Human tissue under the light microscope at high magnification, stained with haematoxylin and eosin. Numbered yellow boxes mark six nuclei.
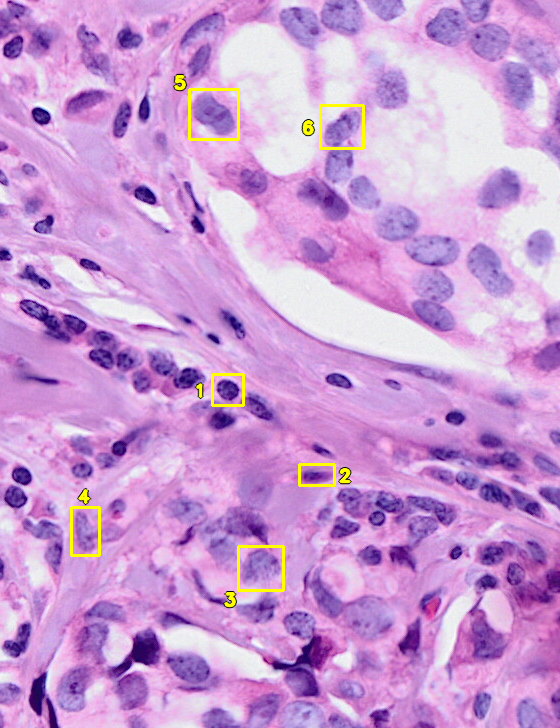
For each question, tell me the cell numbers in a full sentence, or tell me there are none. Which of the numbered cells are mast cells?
Cell 2 alone, of all the numbered cells, is a mast cell.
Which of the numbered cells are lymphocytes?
The numbered cell that is a lymphocyte is cell 1, and it is the only one.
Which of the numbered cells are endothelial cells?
Of the cells marked with numbers, cell 4 is the only one that is an endothelial cell.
